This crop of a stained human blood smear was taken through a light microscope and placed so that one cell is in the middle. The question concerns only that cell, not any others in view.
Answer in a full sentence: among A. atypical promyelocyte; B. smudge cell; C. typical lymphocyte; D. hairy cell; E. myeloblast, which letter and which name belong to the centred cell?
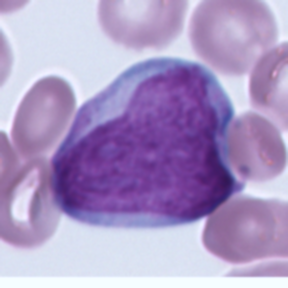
Located in the middle of the crop is an atypical promyelocyte, and option A is therefore correct.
